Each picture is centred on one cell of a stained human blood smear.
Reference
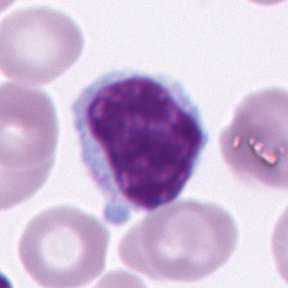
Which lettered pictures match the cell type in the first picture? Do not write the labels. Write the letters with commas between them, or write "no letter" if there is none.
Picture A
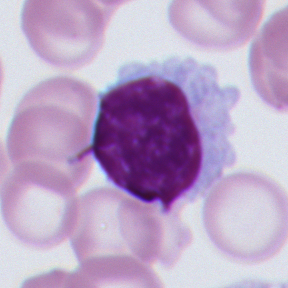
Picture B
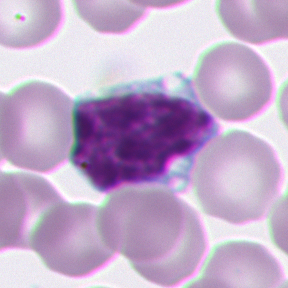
A, B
